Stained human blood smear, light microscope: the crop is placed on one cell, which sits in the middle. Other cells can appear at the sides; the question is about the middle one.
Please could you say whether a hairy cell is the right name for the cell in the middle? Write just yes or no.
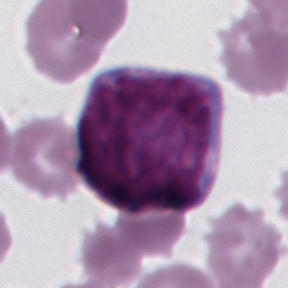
no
